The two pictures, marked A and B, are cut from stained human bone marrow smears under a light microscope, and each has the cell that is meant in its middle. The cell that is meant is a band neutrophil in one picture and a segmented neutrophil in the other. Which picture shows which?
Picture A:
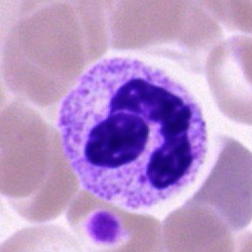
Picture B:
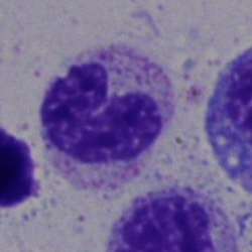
A: segmented neutrophil
B: band neutrophil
